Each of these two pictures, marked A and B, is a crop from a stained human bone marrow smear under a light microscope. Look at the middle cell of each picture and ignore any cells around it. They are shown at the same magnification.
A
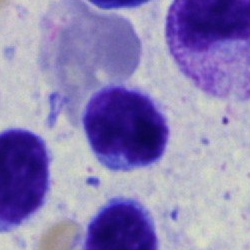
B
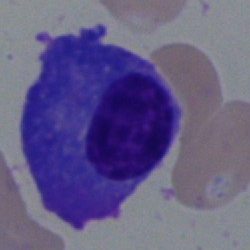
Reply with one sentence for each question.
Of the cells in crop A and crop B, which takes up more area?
It is the cell in crop B, about 4 times as large in area as the cell in crop A.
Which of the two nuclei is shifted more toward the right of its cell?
The nucleus in crop B lies further toward the right of its cell.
